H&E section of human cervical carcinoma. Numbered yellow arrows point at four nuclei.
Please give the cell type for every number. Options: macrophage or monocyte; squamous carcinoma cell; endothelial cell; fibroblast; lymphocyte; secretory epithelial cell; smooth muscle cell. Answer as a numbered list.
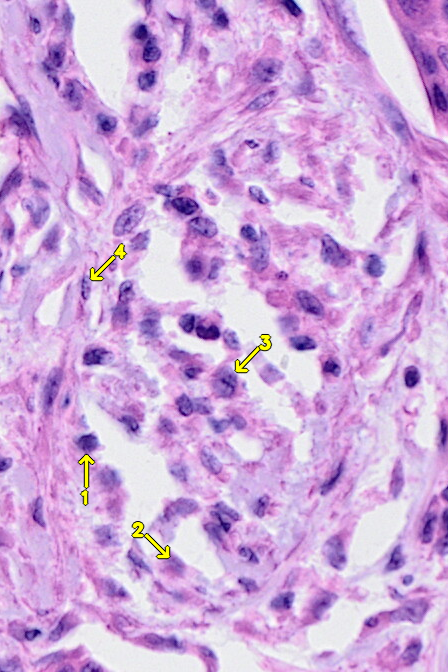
1. lymphocyte
2. fibroblast
3. macrophage or monocyte
4. fibroblast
